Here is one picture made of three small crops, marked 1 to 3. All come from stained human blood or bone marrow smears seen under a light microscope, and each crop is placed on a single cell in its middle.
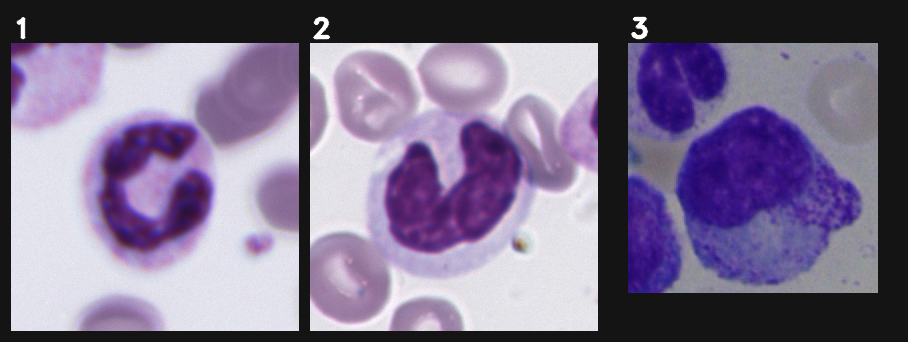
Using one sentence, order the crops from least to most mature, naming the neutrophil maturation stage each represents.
Placed in order of rising maturity, the crops stand as crop 3 (a myelocyte), crop 2 (a band neutrophil) and crop 1 (a segmented neutrophil).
